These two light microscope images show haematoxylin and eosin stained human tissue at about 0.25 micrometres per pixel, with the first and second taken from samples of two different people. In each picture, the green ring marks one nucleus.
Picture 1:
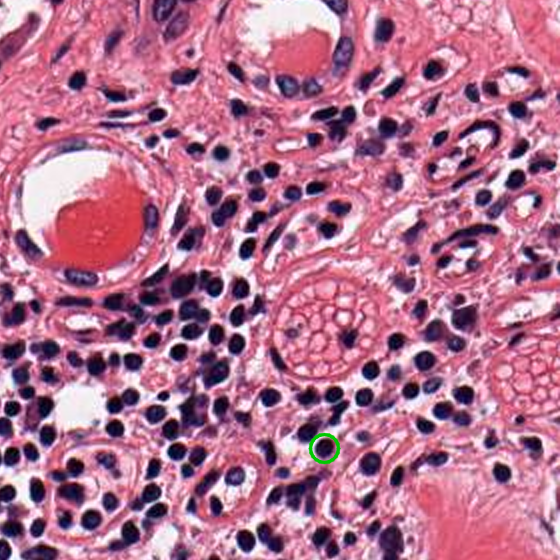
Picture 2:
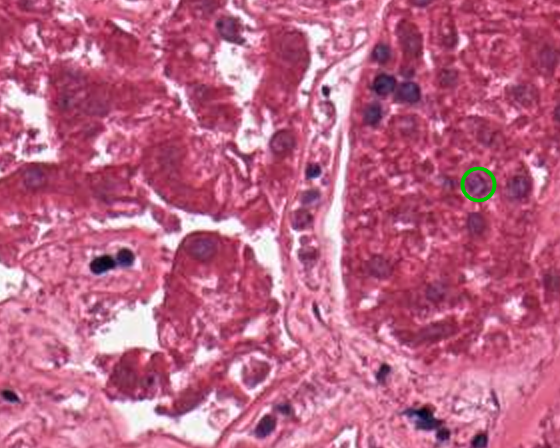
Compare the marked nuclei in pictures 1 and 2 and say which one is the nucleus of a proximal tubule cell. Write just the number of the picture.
2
